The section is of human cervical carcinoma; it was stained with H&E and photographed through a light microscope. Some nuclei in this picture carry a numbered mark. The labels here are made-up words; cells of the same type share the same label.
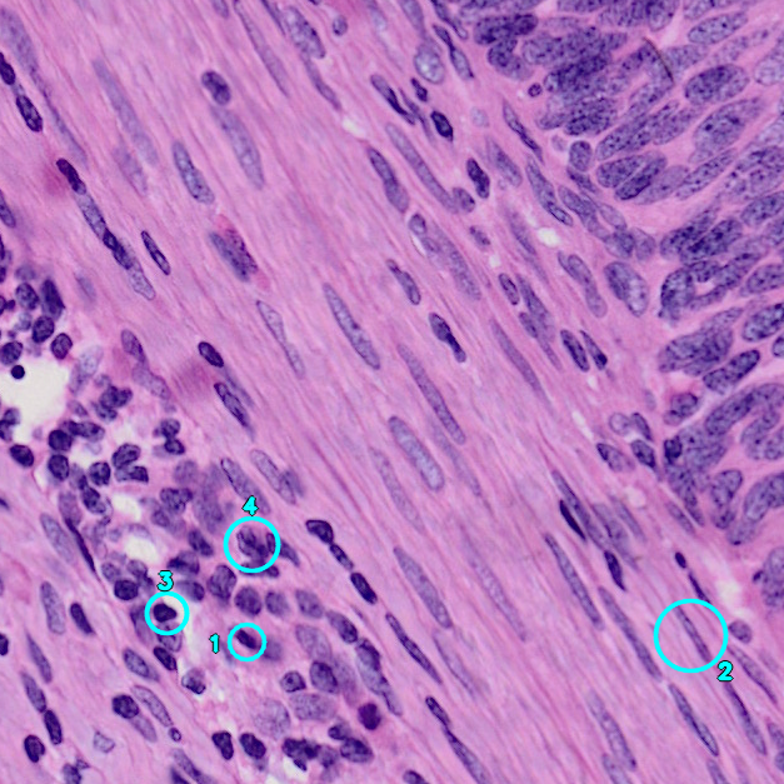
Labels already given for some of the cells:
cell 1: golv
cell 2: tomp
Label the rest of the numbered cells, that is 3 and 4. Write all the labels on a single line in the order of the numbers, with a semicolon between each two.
golv; golv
